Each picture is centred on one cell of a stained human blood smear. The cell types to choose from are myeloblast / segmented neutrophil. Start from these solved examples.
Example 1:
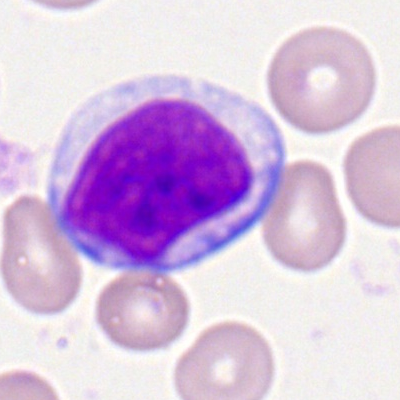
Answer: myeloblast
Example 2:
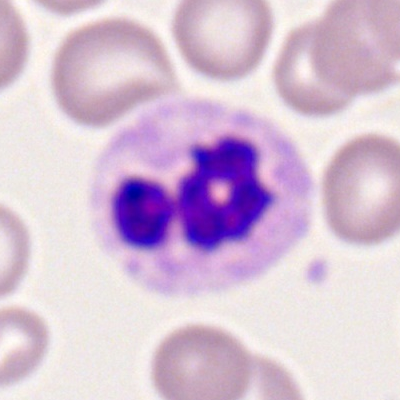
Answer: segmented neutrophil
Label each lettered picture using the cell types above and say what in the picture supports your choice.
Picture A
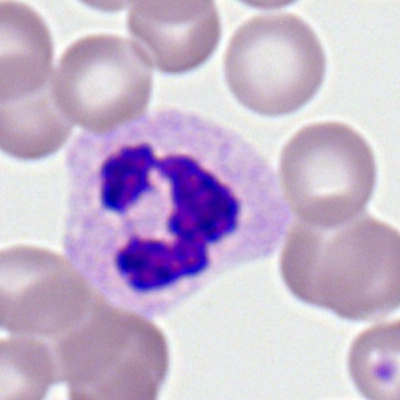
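segmented neutrophil. Evidence: The nuclear lobes curve around a pale central patch of cytoplasm.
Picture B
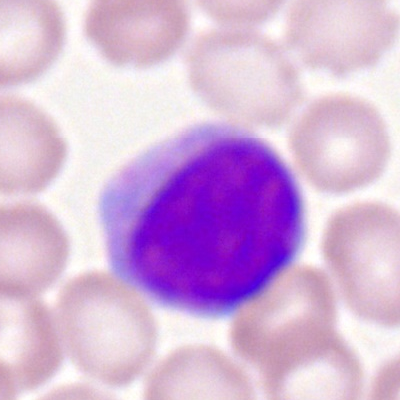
myeloblast. Evidence: The cytoplasm is scant and forms a crescent mainly on the left side.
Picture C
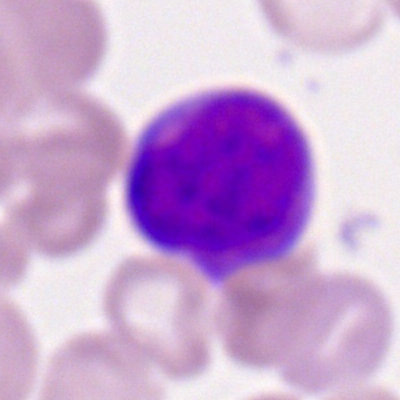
myeloblast. Evidence: The cytoplasm is deep blue.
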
